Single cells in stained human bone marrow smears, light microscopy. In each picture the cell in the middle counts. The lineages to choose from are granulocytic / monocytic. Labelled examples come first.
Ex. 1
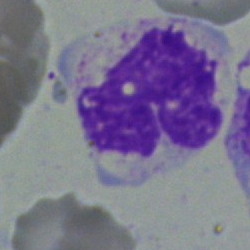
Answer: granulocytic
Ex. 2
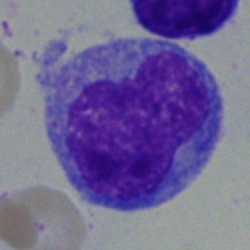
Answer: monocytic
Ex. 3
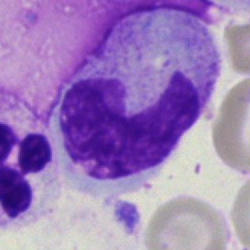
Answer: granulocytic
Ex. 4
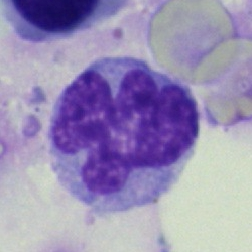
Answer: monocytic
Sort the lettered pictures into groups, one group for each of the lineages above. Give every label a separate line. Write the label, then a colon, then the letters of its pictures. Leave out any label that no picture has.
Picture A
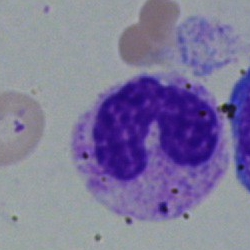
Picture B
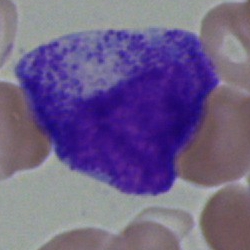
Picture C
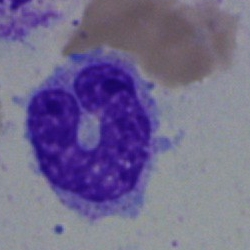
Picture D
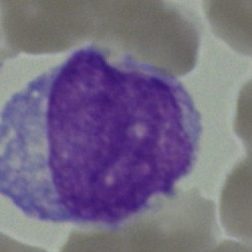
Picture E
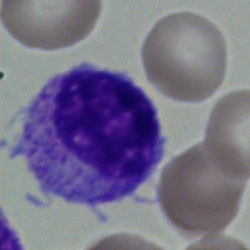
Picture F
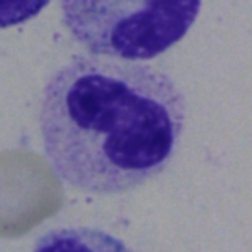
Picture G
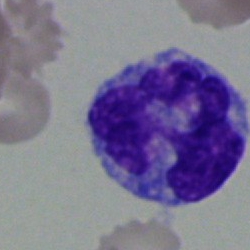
granulocytic: A, B, E, F
monocytic: C, D, G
